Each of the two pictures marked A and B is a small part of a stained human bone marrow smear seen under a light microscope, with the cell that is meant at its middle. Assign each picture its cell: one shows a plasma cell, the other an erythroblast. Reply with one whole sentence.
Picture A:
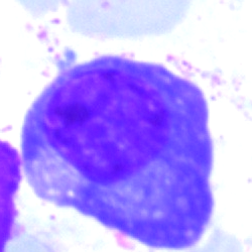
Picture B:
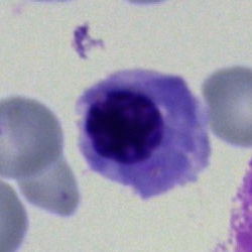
The cell in picture A is a plasma cell, and the one in picture B is an erythroblast.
